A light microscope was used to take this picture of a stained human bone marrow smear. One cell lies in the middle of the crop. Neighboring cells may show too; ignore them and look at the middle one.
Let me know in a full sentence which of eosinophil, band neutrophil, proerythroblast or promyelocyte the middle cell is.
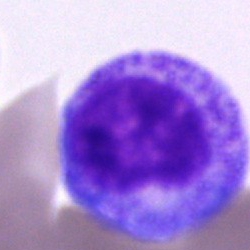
The cell in the middle of the field of view is a promyelocyte.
